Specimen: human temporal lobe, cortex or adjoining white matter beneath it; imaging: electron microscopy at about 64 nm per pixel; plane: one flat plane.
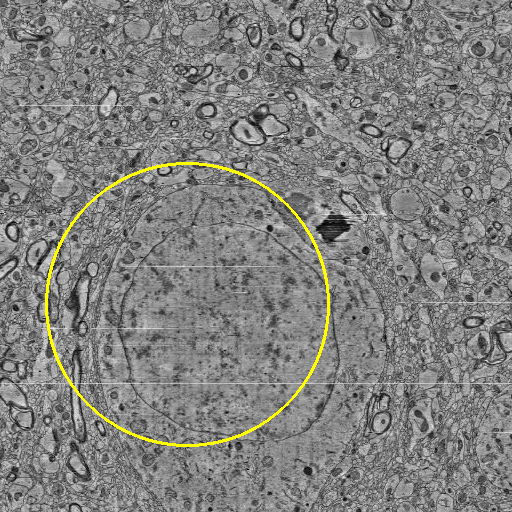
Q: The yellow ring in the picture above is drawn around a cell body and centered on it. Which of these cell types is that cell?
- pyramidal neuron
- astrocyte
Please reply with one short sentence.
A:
The cell body at the ring's center belongs to a pyramidal neuron.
